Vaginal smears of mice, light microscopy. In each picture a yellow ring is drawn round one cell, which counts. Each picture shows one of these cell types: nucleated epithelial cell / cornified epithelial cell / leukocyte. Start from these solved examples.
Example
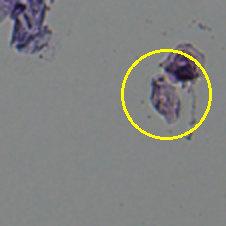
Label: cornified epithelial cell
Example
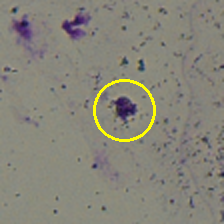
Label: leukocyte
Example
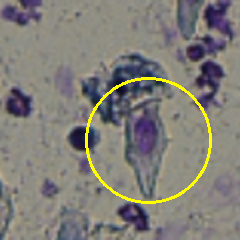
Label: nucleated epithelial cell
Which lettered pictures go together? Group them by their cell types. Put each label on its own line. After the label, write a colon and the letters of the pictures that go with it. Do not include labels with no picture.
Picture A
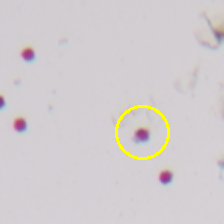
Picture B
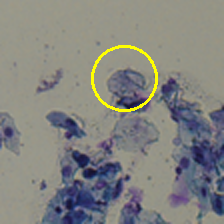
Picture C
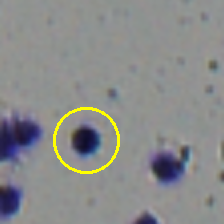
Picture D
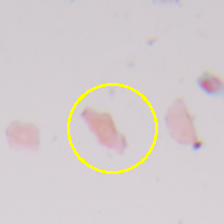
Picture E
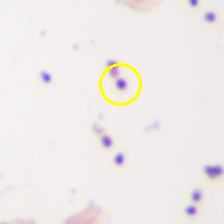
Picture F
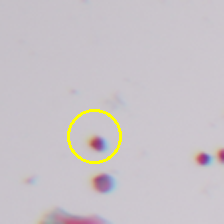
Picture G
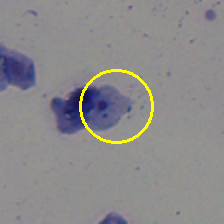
nucleated epithelial cell: G
cornified epithelial cell: B, D
leukocyte: A, C, E, F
